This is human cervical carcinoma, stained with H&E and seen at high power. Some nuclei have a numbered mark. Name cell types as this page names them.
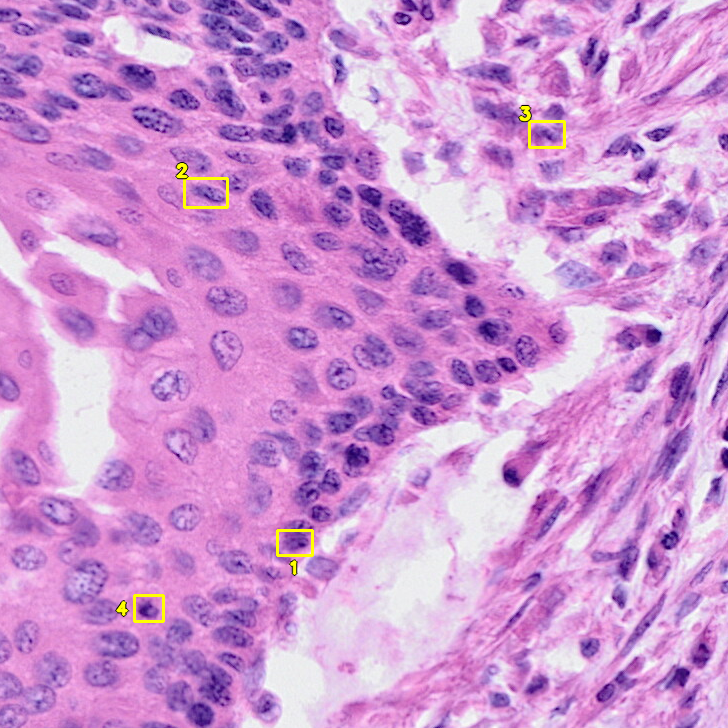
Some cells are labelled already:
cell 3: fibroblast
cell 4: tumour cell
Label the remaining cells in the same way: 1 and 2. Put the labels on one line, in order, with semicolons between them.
tumour cell; tumour cell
